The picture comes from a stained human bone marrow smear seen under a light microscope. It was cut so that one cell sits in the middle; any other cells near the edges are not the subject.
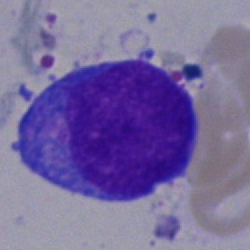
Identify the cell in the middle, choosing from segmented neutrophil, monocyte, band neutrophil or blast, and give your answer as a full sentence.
Here the centrally located cell is a blast.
